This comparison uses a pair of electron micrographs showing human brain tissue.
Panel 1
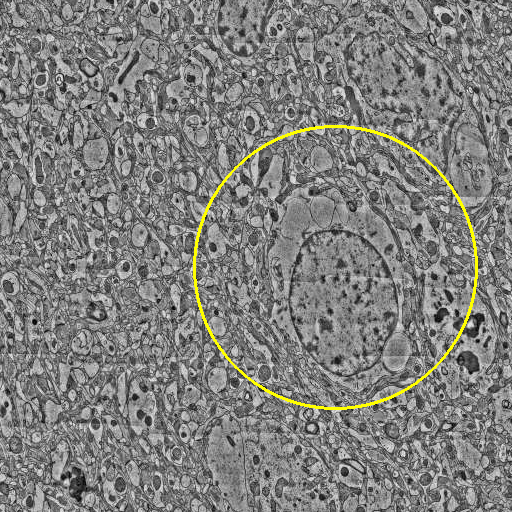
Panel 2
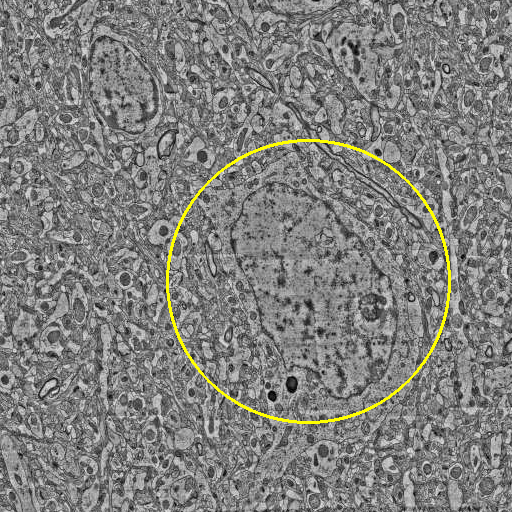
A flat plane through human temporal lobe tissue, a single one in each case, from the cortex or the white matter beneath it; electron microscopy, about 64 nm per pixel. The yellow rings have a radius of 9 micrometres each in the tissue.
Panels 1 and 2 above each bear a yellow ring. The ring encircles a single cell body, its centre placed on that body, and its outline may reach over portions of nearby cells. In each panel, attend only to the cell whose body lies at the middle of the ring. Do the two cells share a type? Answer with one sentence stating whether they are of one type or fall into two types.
In Panel 1 and Panel 2, the cells at the centres of the rings fall into two types.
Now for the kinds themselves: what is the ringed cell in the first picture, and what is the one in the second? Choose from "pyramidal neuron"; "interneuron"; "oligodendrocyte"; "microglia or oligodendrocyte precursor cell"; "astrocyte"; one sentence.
Here the first cell is an astrocyte and the second cell is an interneuron.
